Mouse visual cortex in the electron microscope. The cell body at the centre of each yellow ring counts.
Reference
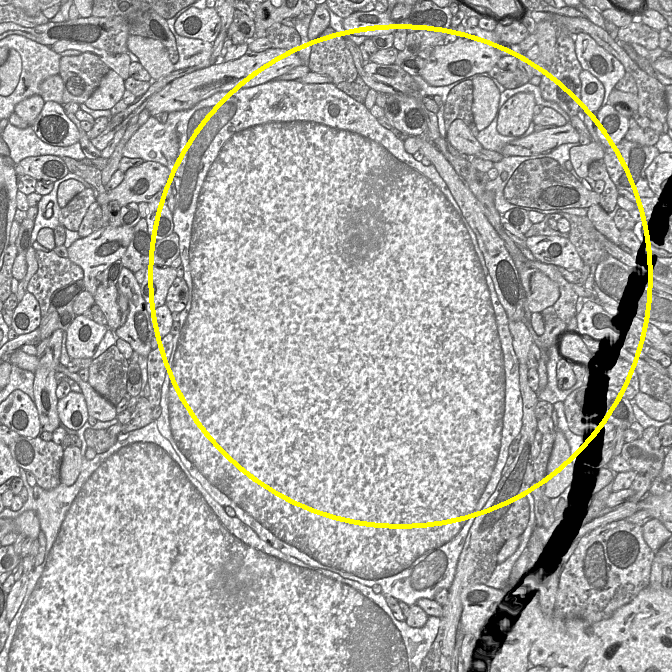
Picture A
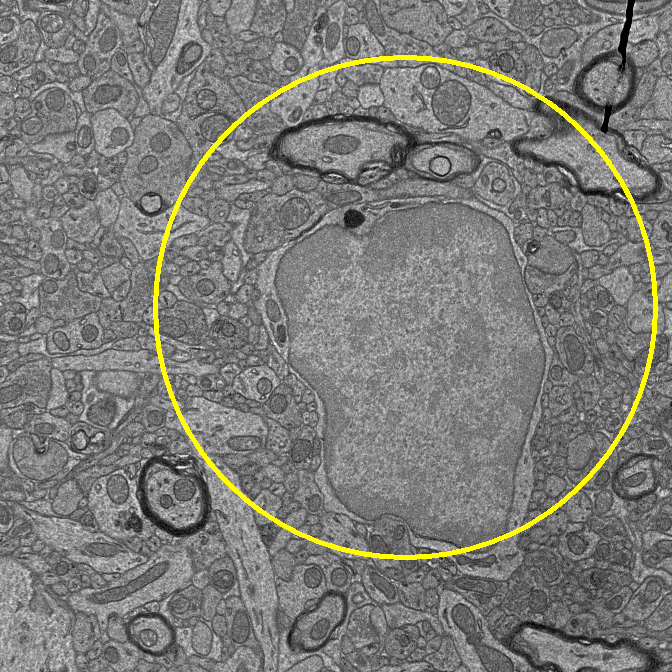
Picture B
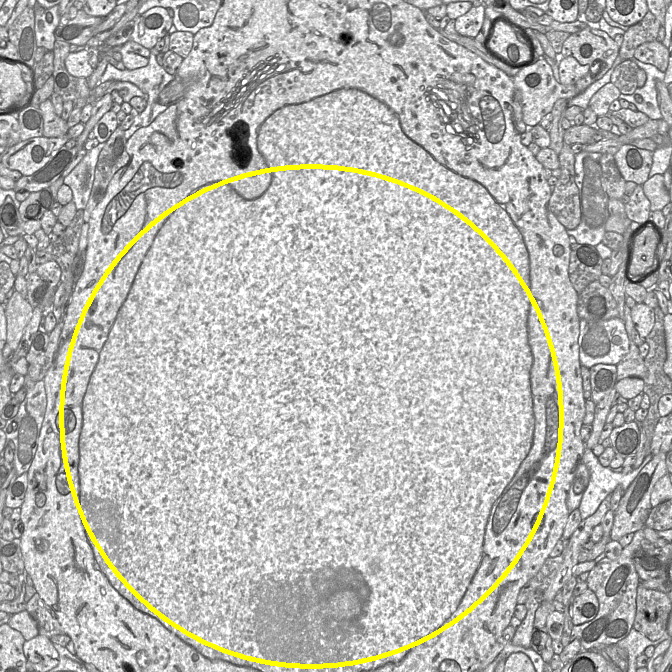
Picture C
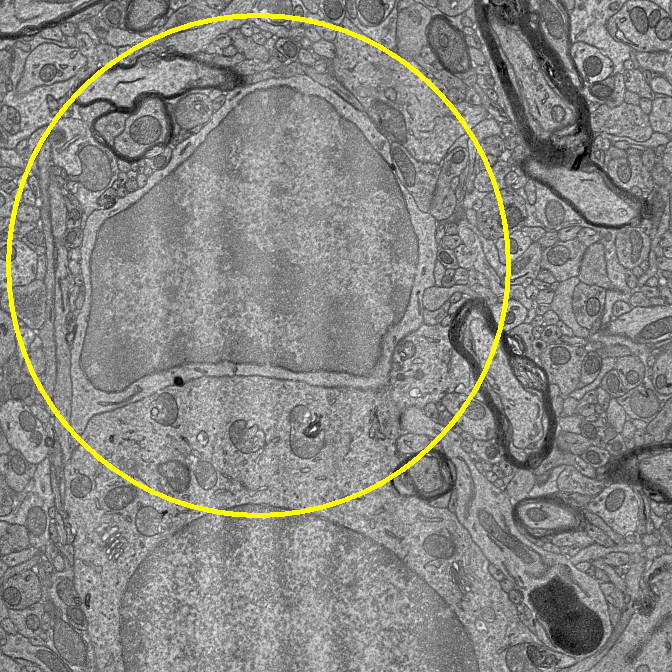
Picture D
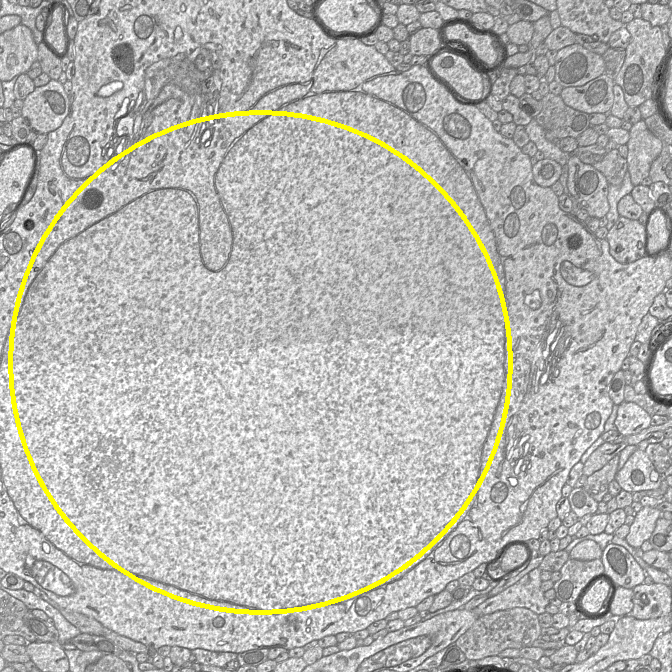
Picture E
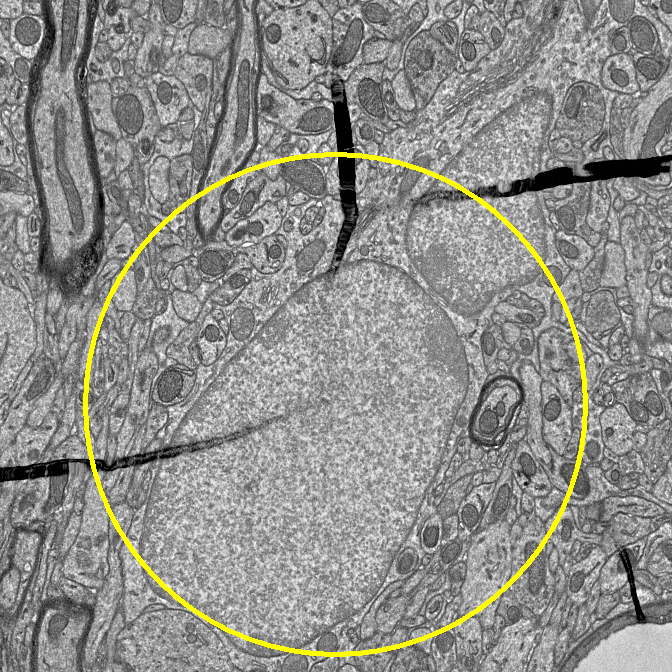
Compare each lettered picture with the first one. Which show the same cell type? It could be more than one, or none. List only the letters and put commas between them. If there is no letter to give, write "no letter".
E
